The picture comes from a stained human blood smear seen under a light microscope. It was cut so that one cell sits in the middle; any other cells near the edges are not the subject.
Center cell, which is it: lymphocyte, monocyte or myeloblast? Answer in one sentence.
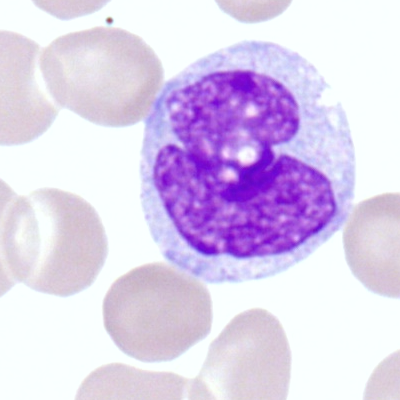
As for the cell in the middle, it is a monocyte.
